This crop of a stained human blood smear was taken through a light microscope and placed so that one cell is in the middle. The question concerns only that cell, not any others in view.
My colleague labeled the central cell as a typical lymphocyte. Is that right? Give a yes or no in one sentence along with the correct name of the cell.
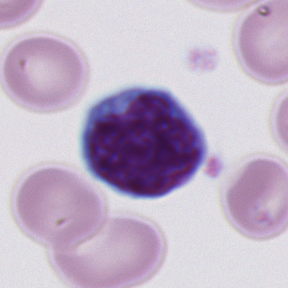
Yes, the cell in the middle of this smear crop is a typical lymphocyte.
